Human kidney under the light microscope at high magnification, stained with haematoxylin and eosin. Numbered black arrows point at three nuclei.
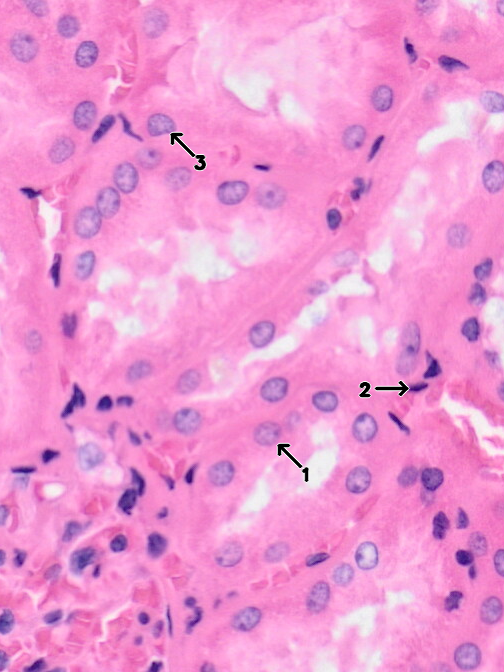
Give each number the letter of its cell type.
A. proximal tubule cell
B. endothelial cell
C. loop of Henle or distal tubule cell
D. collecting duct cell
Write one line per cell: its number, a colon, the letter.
1: A
2: B
3: A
